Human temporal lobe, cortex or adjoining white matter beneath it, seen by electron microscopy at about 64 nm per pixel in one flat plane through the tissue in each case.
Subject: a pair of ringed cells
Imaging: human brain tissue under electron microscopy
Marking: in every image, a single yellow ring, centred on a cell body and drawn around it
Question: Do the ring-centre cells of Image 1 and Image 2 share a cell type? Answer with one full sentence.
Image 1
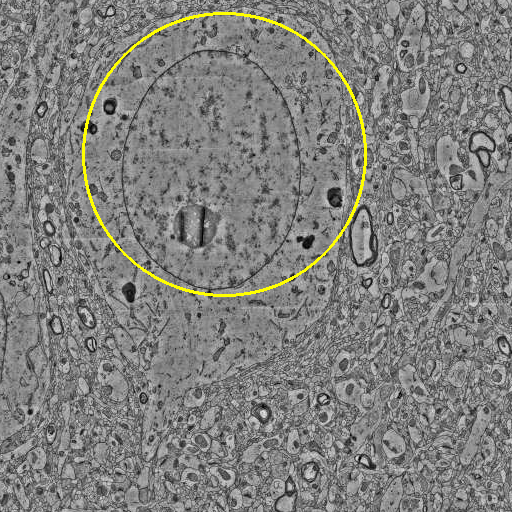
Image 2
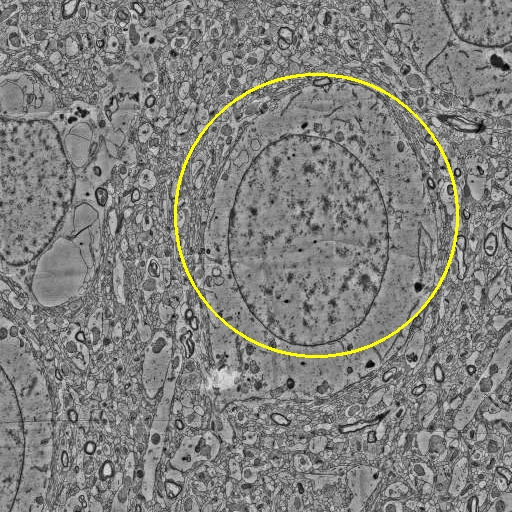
Yes, at each ring's centre in the images sits a cell of one common type.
